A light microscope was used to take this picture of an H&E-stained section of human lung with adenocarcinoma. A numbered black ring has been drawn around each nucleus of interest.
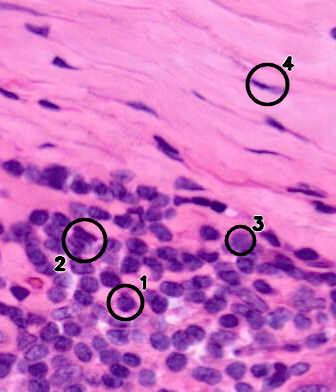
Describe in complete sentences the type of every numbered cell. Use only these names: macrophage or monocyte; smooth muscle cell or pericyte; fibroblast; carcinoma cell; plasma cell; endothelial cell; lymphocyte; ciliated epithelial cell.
Cells 1, 2 and 3 are lymphocytes. Cell 4 is a fibroblast.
